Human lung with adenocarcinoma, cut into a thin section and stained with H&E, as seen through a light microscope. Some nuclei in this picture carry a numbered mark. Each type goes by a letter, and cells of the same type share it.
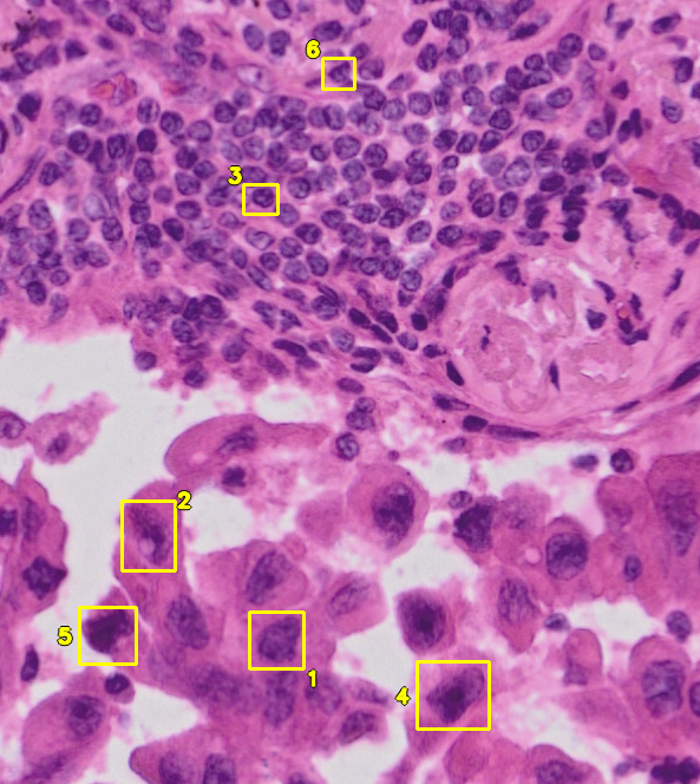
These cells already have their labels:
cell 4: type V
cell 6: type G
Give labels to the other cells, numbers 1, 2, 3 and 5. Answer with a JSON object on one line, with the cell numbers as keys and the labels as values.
{"1": "type V", "2": "type V", "3": "type G", "5": "type V"}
